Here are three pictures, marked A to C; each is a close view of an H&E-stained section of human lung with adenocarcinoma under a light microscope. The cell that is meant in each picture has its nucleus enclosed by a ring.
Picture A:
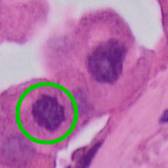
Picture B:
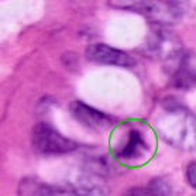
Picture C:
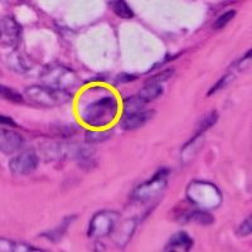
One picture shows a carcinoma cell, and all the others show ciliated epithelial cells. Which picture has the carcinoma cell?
A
